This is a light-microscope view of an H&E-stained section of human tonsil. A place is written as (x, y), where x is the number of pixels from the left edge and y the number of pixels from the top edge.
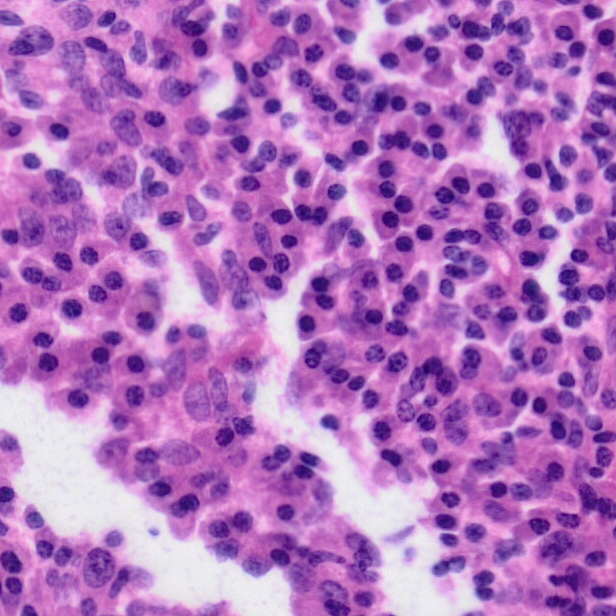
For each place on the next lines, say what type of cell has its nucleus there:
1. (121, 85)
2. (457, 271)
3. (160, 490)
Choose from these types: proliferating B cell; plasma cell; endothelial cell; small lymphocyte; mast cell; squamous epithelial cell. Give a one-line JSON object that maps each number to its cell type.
{"1": "squamous epithelial cell", "2": "plasma cell", "3": "plasma cell"}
